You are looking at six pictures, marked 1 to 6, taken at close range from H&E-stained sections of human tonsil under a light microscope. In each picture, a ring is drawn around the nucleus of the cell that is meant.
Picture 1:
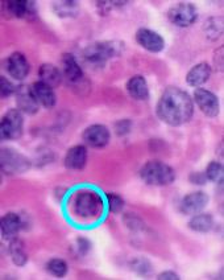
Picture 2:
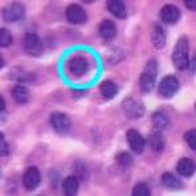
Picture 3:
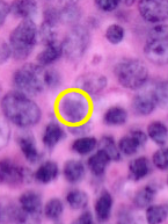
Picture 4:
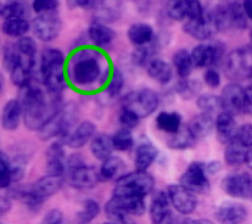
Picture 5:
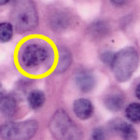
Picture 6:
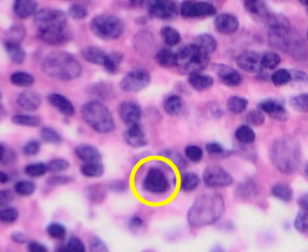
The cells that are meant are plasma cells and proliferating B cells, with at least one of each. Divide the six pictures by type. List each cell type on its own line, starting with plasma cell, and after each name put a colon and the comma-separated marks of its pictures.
plasma cell: 1, 2, 5
proliferating B cell: 3, 4, 6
